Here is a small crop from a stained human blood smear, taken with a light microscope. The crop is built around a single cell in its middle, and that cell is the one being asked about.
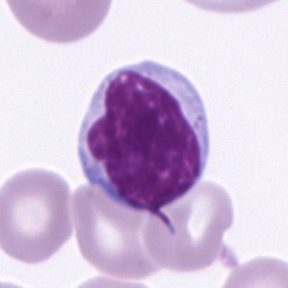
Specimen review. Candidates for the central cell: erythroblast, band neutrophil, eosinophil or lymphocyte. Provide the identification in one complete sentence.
For this crop, the cell in the middle is a lymphocyte.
